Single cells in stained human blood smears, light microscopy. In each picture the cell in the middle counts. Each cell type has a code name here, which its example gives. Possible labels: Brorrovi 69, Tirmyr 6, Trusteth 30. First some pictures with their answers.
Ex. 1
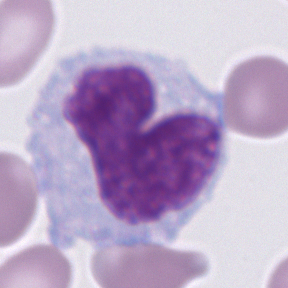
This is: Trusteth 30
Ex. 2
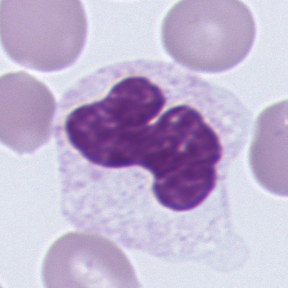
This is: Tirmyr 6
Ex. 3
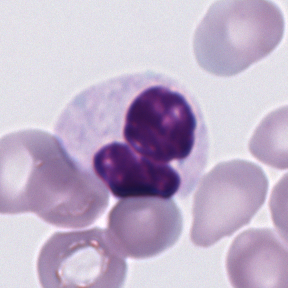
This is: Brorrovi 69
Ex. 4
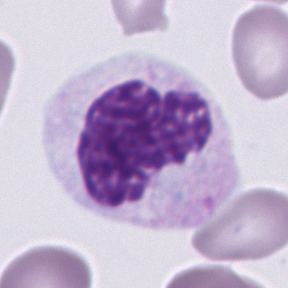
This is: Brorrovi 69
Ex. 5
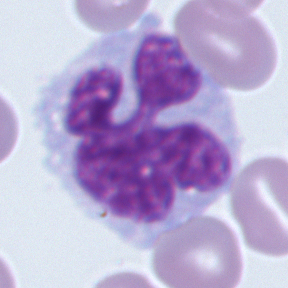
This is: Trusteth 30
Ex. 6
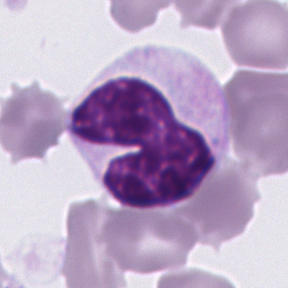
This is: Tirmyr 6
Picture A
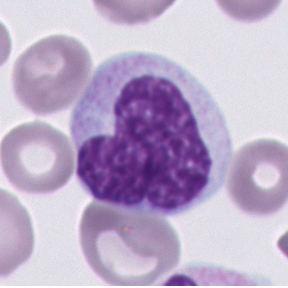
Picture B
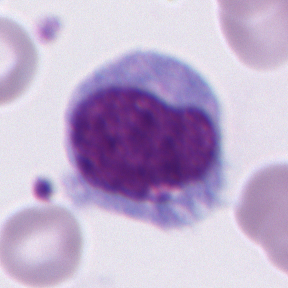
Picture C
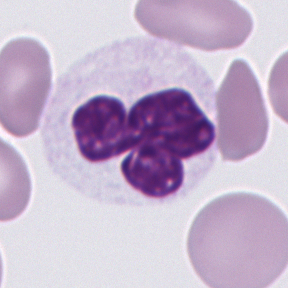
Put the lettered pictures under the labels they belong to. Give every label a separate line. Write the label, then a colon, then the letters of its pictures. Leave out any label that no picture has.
Brorrovi 69: C
Tirmyr 6: A
Trusteth 30: B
